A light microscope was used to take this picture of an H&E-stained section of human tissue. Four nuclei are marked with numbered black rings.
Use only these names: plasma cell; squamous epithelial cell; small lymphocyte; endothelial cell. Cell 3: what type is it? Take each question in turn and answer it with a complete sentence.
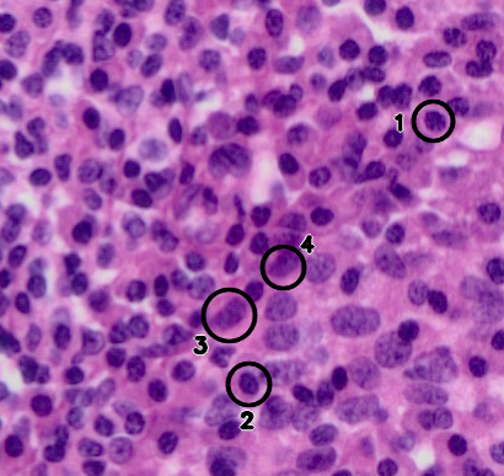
Cell 3 in the field of view is a squamous epithelial cell.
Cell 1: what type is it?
The cell numbered 1 represents a plasma cell.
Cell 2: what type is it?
The marked nucleus 2 is that of a plasma cell.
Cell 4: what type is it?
The cell that carries the label 4 is a squamous epithelial cell.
